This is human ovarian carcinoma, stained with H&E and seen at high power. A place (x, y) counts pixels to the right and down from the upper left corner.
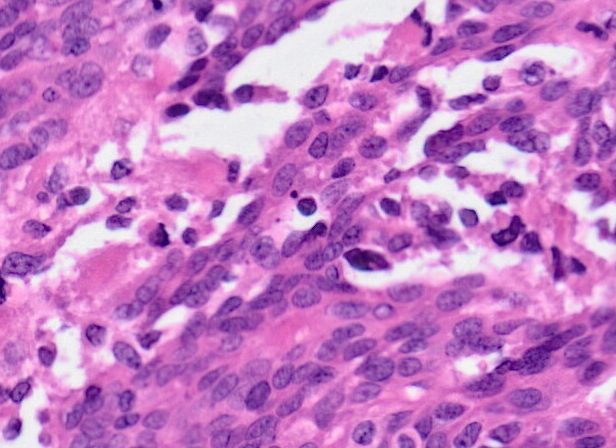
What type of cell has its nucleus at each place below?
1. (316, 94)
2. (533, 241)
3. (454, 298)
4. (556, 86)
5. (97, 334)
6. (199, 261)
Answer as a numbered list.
1. macrophage or monocyte
2. carcinoma cell
3. carcinoma cell
4. carcinoma cell
5. macrophage or monocyte
6. carcinoma cell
